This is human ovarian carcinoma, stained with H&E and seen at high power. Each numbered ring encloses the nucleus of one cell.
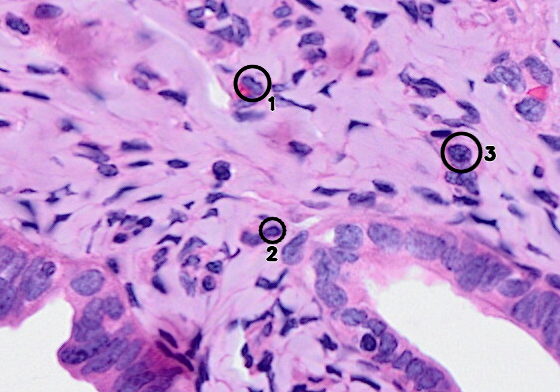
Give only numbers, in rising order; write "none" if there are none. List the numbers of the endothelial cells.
1, 3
